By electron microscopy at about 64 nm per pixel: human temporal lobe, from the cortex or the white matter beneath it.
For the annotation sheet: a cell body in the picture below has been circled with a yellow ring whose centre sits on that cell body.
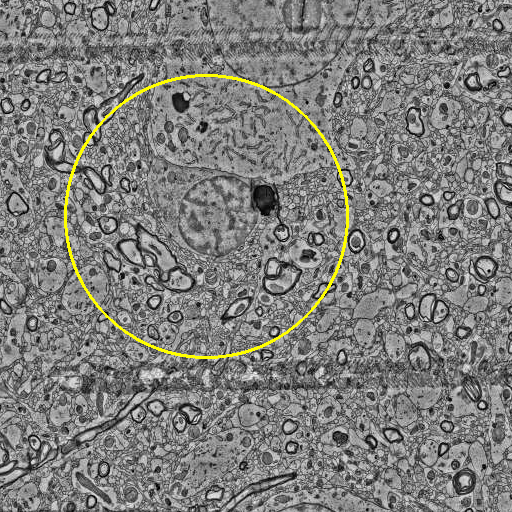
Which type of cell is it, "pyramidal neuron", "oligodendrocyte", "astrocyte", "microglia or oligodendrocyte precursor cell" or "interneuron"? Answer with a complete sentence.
The circled cell is an oligodendrocyte.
